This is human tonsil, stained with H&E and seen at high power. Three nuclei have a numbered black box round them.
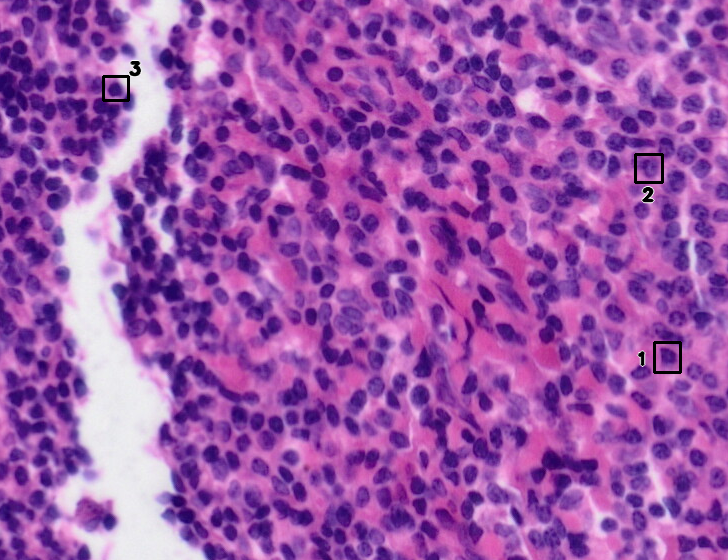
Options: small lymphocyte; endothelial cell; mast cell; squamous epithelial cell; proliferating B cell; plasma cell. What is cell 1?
plasma cell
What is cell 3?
small lymphocyte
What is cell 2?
plasma cell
